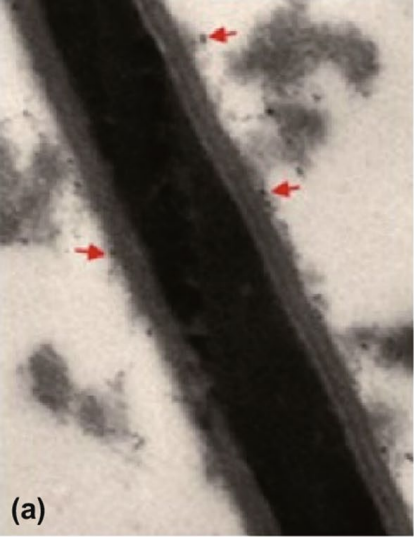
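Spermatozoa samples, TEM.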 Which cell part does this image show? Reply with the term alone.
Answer: sperm head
